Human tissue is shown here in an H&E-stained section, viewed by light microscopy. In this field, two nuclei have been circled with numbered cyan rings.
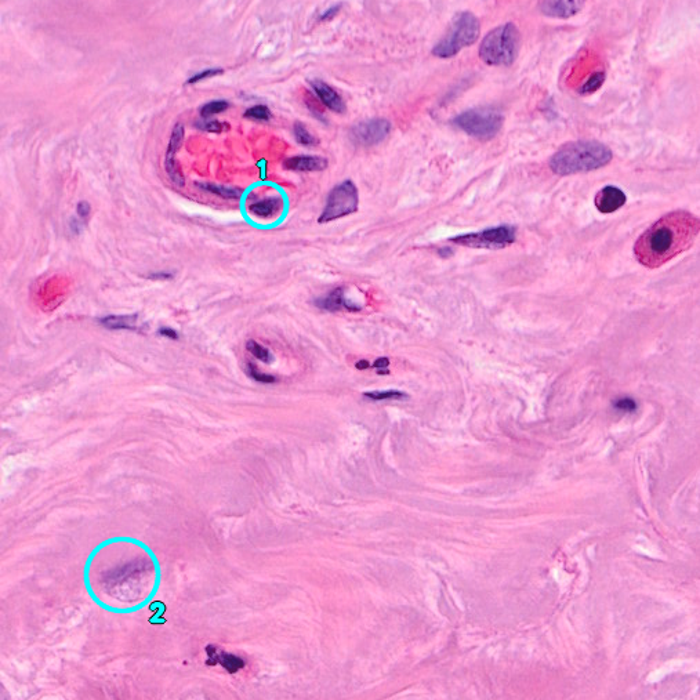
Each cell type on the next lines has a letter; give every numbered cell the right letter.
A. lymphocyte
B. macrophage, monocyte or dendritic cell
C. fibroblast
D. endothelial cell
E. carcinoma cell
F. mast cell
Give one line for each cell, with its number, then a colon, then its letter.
1: D
2: C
